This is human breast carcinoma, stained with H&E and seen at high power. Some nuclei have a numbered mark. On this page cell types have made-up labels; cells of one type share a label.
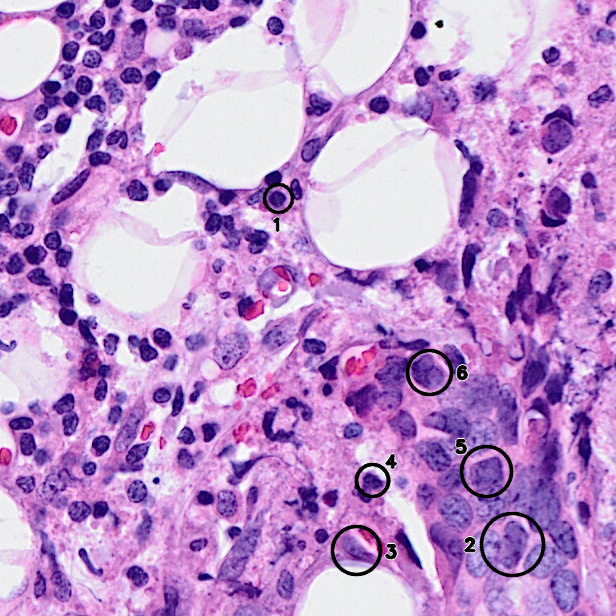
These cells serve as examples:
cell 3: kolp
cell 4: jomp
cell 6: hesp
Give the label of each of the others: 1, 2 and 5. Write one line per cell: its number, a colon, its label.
1: jomp
2: hesp
5: hesp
